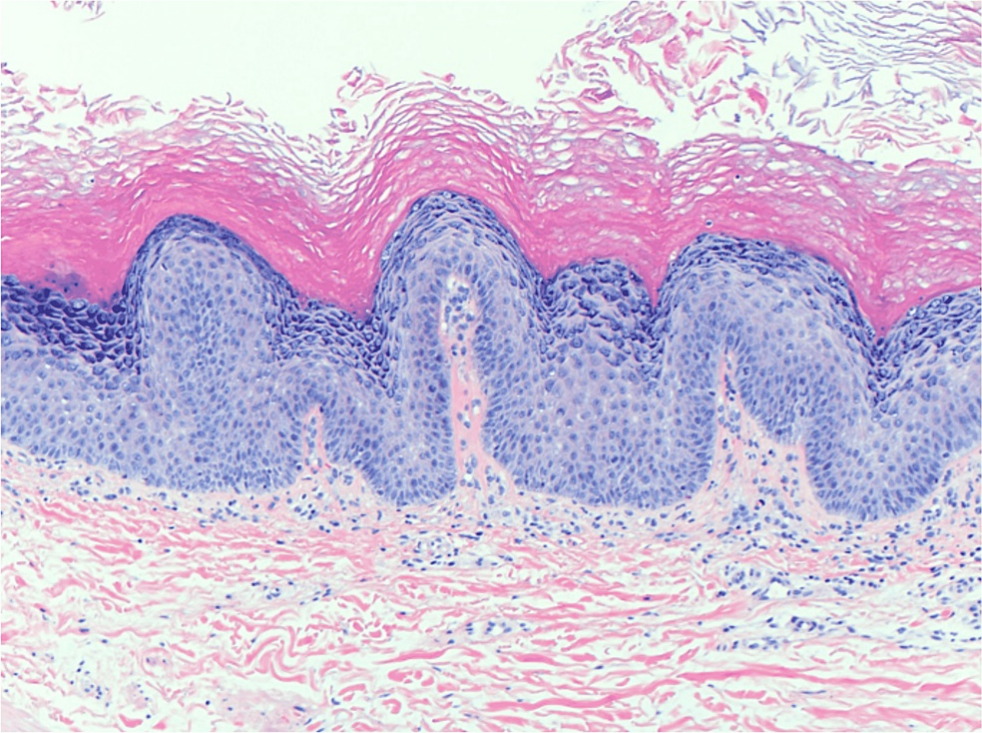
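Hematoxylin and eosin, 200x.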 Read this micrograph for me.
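Skin lesion with markedly thickened epidermis thrown into finger-like upward projections. A thick, bright pink layer of laminated keratin covers the surface, filling the valleys between projections and flaking off at the top. Beneath it a prominent band of dark purple granular cells is most conspicuous in the valleys. The spinous layer consists of many rows of pale keratinocytes with round bluish nuclei. The underlying dermis shows pink collagen bundles and scattered small dark nuclei of inflammatory cells beneath the epidermis.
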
